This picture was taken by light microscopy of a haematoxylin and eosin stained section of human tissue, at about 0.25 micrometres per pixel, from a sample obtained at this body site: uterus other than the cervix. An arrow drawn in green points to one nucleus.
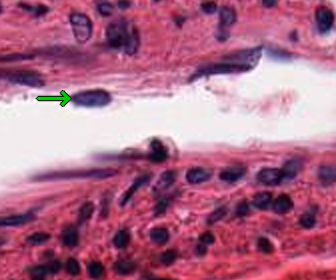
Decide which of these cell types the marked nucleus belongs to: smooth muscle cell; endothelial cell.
endothelial cell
